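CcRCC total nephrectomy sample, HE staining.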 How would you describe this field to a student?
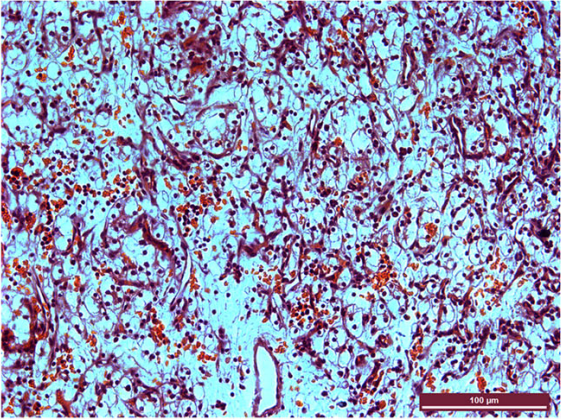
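The section shows sheets of tumour cells with clear, empty-looking cytoplasm and sharply outlined cell borders. The cells are polygonal to rounded. Small, dark purple nuclei sit in many of the cells. Red blood cells lie scattered among the cells, singly and in small clusters. Thin, branching strands that look like delicate blood vessels cross the field. The tissue lacks any tubules or glomeruli, and much of the background looks pale and washed out. Near the bottom centre a small empty vascular lumen is seen.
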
